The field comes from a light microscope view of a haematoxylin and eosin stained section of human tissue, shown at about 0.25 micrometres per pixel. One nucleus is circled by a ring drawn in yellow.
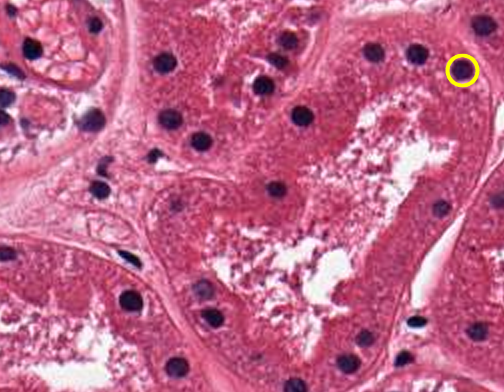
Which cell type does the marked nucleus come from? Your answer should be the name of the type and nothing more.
proximal tubule cell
